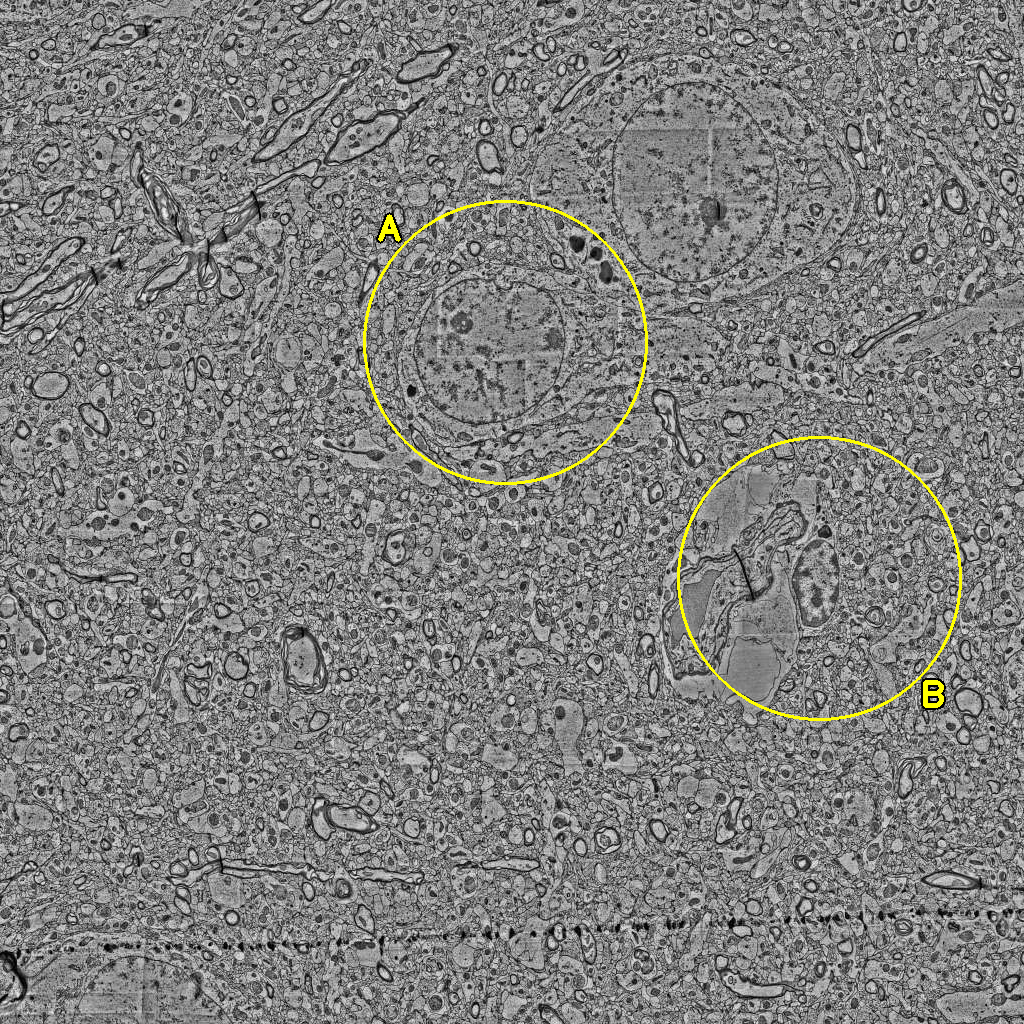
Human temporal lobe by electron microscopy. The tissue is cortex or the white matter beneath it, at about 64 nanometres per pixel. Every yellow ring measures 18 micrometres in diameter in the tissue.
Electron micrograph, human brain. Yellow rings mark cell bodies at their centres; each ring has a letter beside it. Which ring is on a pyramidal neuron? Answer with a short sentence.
Ring A is centred on it.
